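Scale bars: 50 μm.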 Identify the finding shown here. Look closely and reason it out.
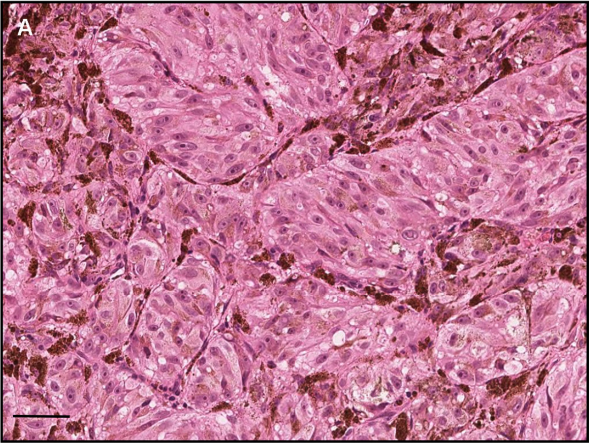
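Sheets and nests of large cells with abundant pink cytoplasm. Nuclei are enlarged and vary in size and shape, some with prominent nucleoli. Coarse dark brown pigment clumps are scattered between the cell nests. That points to this answer: melanoma.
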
